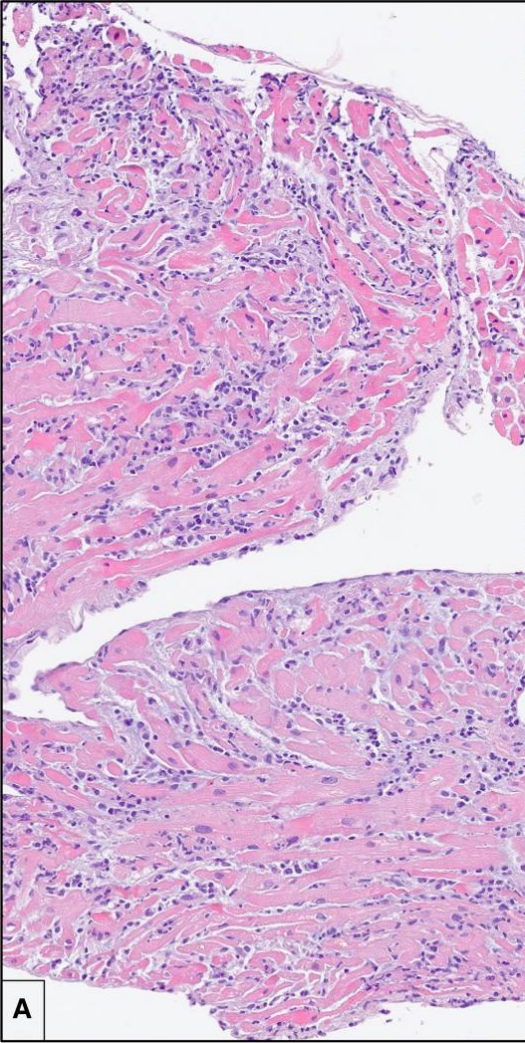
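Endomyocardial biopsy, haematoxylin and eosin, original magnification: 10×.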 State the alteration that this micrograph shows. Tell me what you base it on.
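Numerous small cells with dark round nuclei lie scattered between the pink muscle fibres. The small dark cells are spread throughout the whole fragment rather than in one spot. They sit in the spaces between fibres, not inside them.
Answer: mononuclear interstitial inflammatory infiltrate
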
